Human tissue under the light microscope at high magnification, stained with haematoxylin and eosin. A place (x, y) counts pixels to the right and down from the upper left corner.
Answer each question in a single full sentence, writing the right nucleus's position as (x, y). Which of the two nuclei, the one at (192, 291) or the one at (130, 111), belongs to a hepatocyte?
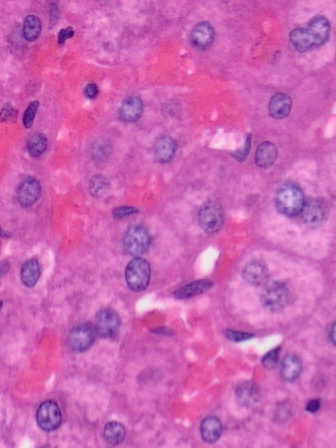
Among the two, the nucleus at (130, 111) is the nucleus of a hepatocyte.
